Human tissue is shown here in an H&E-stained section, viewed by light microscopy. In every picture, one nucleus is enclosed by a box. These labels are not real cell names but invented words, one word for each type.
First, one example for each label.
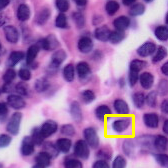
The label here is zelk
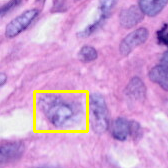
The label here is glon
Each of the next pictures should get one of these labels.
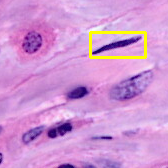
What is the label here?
glon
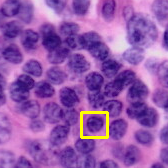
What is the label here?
zelk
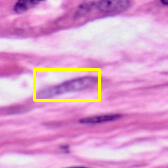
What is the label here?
glon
